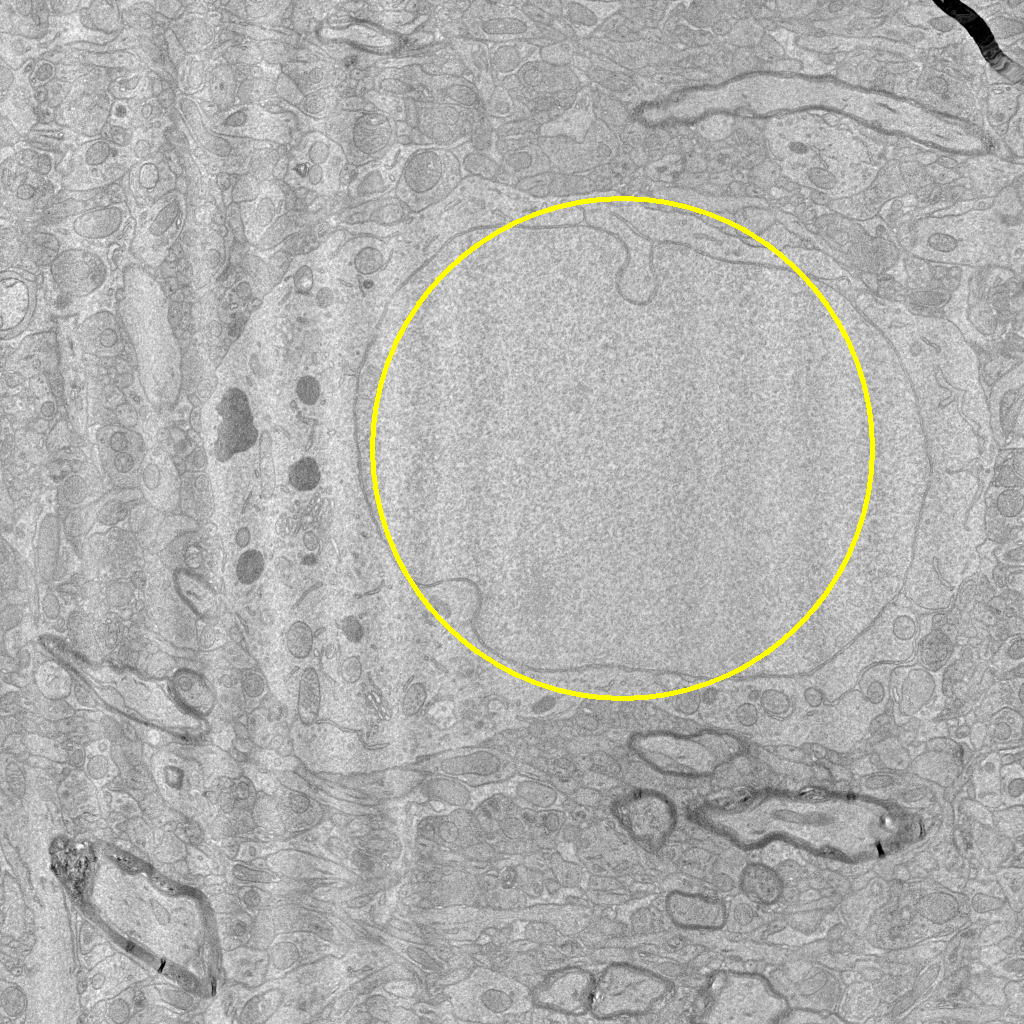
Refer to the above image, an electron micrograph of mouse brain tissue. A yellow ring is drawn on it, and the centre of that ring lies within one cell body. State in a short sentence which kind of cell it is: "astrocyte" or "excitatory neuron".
The centre of the ring falls on an excitatory neuron.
